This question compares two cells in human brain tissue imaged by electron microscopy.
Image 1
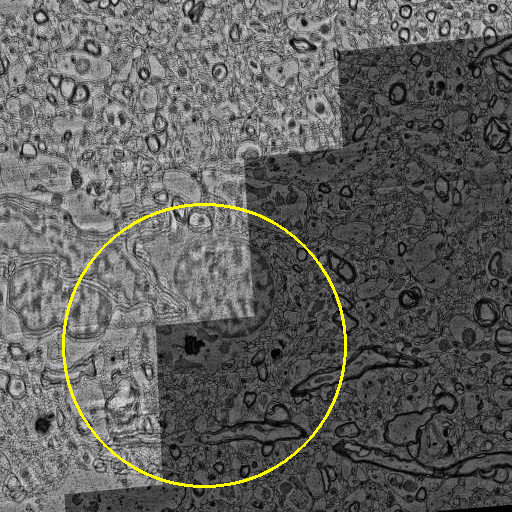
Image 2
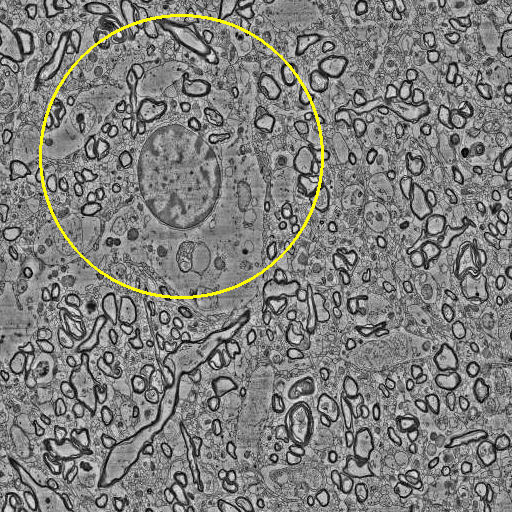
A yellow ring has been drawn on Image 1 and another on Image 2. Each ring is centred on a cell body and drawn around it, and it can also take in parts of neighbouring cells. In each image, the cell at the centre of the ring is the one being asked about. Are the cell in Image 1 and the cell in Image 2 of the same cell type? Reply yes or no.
no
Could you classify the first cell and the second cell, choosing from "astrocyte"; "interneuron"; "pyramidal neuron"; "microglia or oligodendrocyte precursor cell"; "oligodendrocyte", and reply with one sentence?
The second cell is a microglial cell or oligodendrocyte precursor cell, while the first is an oligodendrocyte.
